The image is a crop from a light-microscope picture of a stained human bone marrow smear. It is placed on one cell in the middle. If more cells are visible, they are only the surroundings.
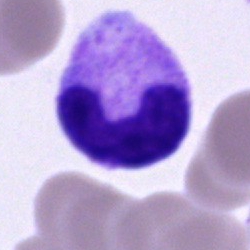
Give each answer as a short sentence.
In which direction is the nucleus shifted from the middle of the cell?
The nucleus sits off-centre, toward the bottom.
